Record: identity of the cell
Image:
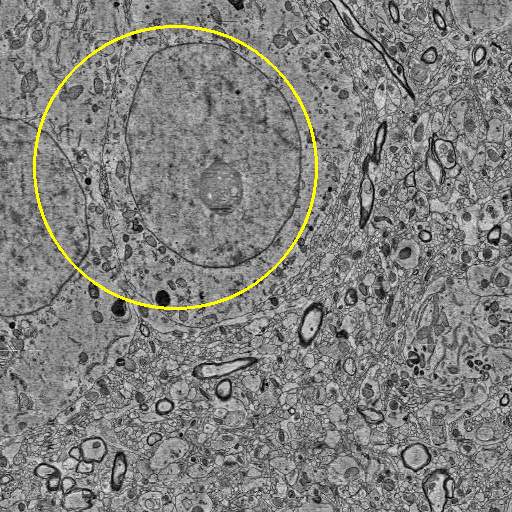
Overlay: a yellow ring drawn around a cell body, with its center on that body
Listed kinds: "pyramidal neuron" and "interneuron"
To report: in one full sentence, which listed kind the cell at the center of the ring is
In the image, the cell body at the ring's center belongs to a pyramidal neuron.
